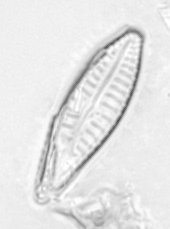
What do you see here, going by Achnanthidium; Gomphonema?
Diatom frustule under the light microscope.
I see Gomphonema.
